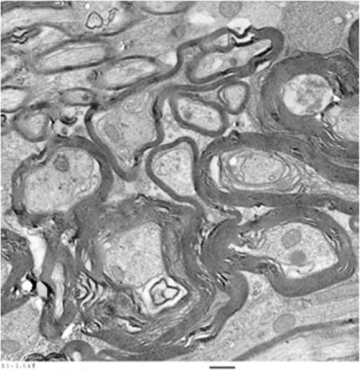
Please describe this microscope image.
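Cross-sectioned myelinated nerve fibers fill the field, several of them large and wrapped by very thick, dark myelin sheaths. In places the layers of the sheath part from one another, leaving pale clefts, so the sheaths look loose and wavy rather than compact. Within the pale axoplasm lie rounded organelles, among them mitochondria whose inner structure is indistinct. Together this is white matter with thickened, splitting myelin around large fibers.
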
